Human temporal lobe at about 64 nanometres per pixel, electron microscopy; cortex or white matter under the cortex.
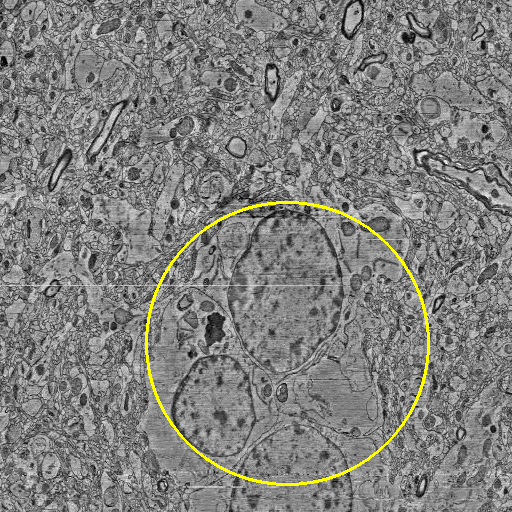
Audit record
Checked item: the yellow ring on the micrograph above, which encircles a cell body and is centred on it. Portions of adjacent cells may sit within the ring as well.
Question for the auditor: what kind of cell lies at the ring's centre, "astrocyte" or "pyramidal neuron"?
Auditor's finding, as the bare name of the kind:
astrocyte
